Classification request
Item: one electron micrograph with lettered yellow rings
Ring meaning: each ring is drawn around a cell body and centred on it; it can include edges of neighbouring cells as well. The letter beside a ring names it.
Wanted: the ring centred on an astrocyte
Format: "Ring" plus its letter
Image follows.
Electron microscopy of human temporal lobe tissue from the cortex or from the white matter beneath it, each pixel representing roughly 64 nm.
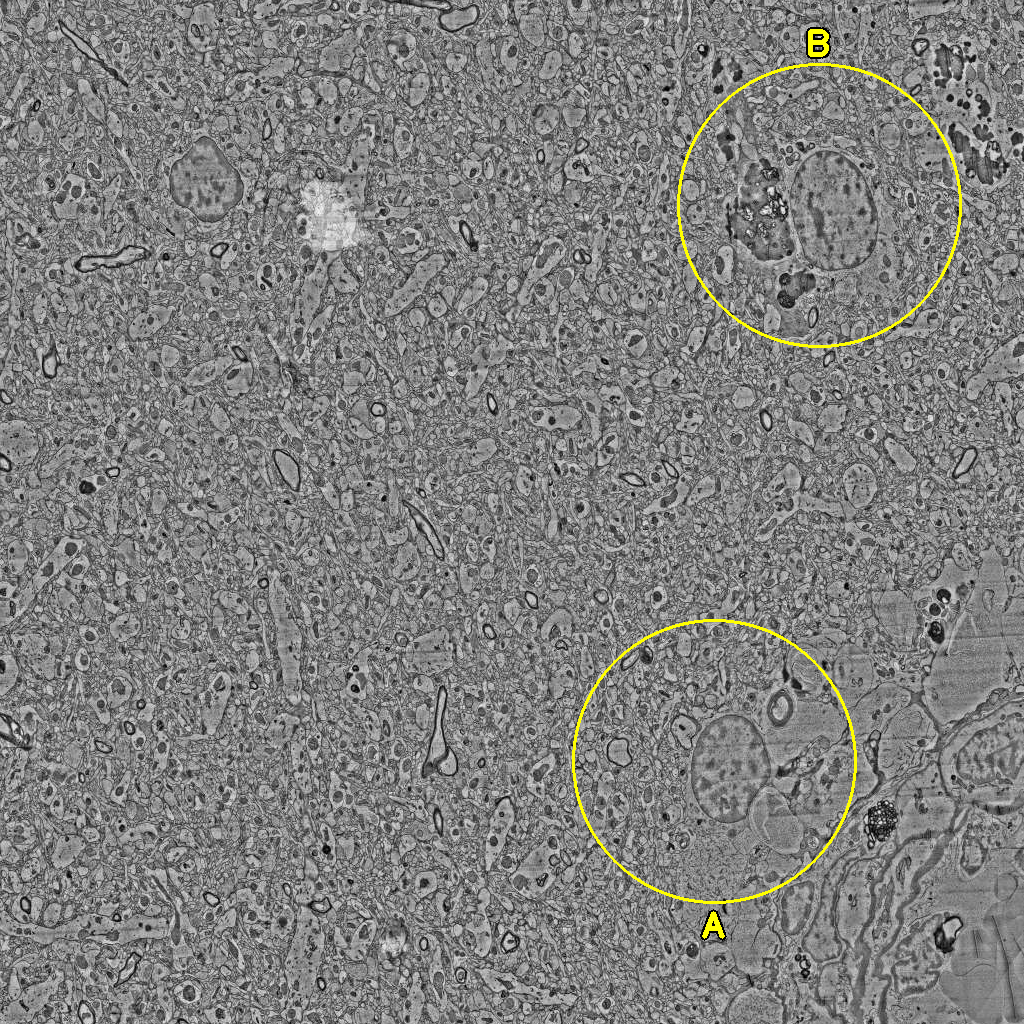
Ring B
